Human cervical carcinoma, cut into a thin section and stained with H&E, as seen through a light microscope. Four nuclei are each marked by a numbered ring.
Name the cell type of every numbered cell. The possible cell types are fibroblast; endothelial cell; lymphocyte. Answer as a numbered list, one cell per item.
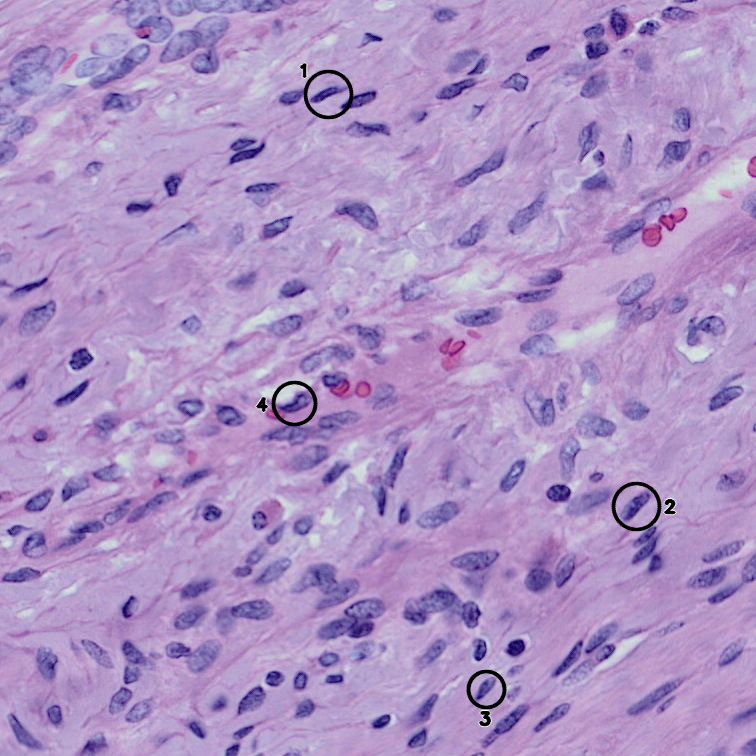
1. fibroblast
2. fibroblast
3. fibroblast
4. endothelial cell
